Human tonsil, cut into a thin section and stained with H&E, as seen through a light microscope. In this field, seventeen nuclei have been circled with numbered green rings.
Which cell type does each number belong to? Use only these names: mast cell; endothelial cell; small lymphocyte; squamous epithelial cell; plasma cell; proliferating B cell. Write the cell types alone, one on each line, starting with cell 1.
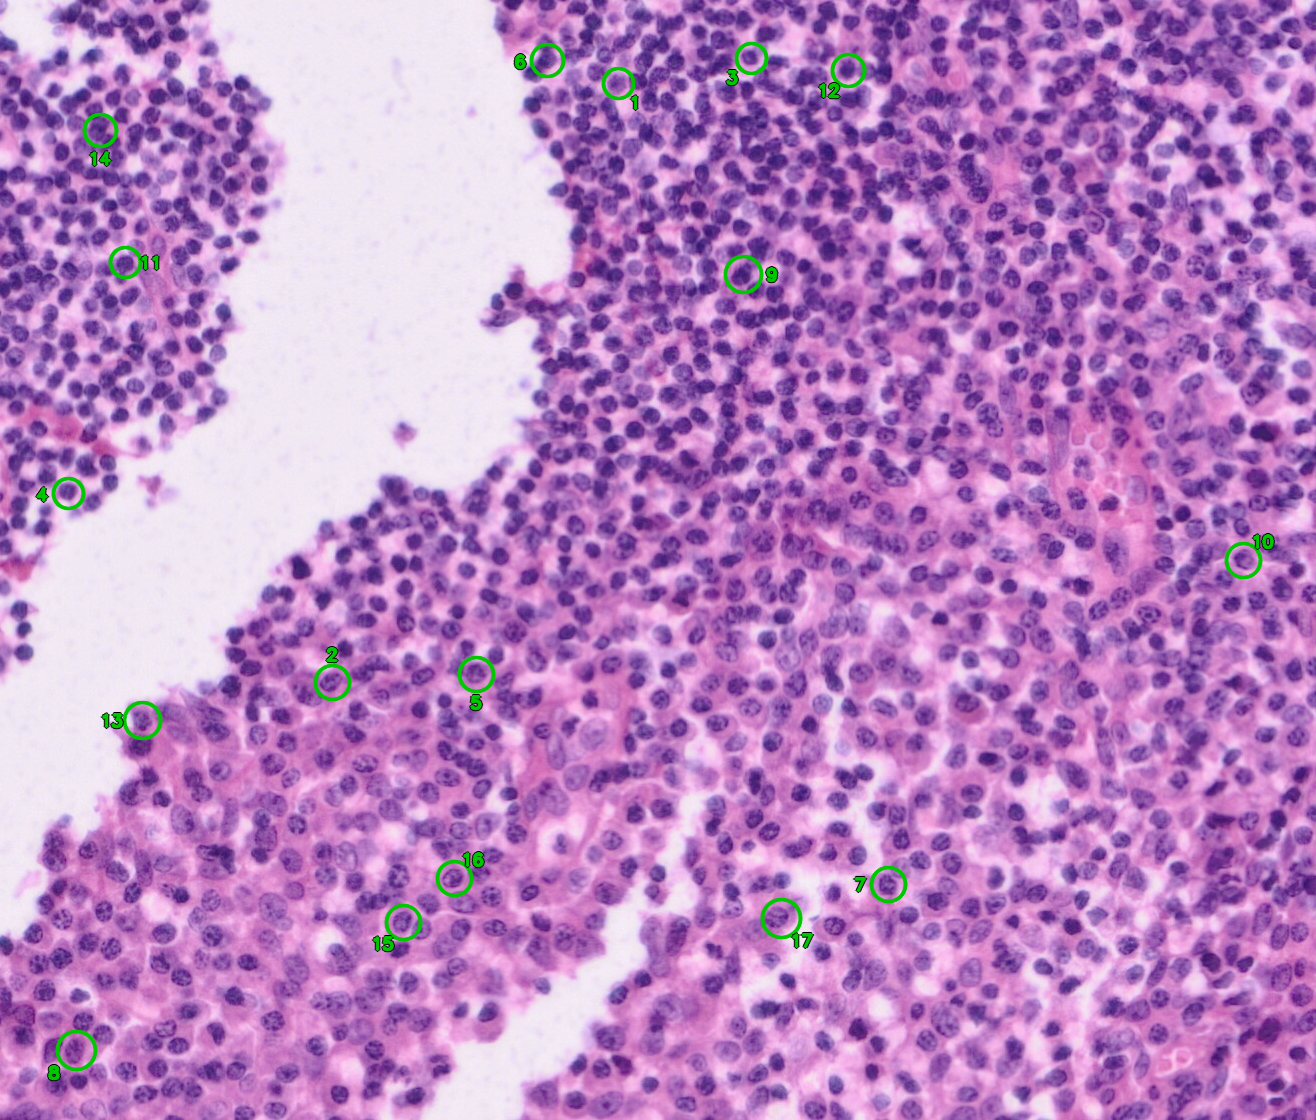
small lymphocyte
plasma cell
small lymphocyte
small lymphocyte
plasma cell
small lymphocyte
plasma cell
plasma cell
small lymphocyte
plasma cell
small lymphocyte
small lymphocyte
plasma cell
small lymphocyte
plasma cell
plasma cell
plasma cell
